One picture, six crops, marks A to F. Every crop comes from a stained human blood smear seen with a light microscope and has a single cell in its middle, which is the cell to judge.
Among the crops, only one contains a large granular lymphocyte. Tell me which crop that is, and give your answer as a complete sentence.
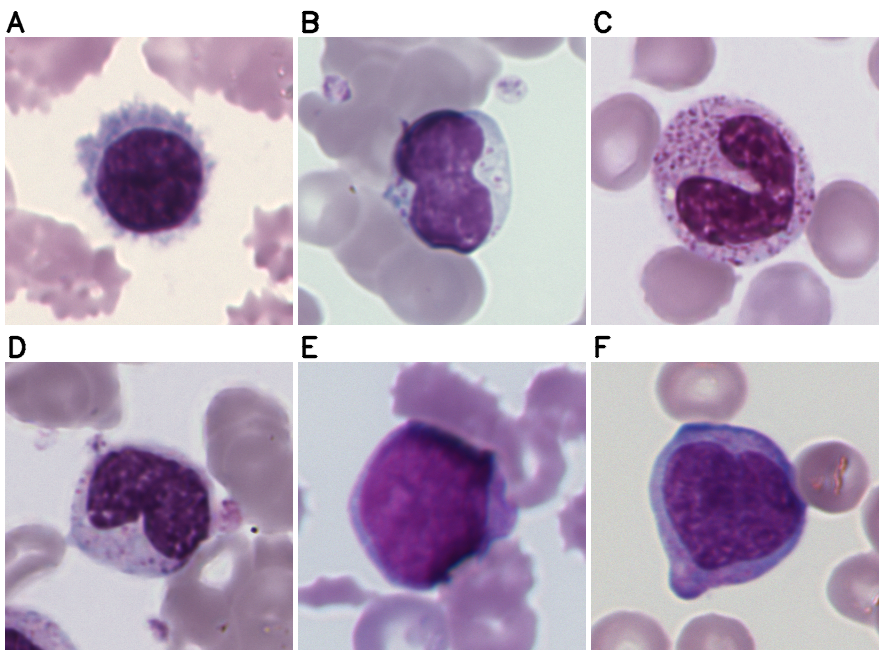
The one crop that shows a large granular lymphocyte is crop B.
